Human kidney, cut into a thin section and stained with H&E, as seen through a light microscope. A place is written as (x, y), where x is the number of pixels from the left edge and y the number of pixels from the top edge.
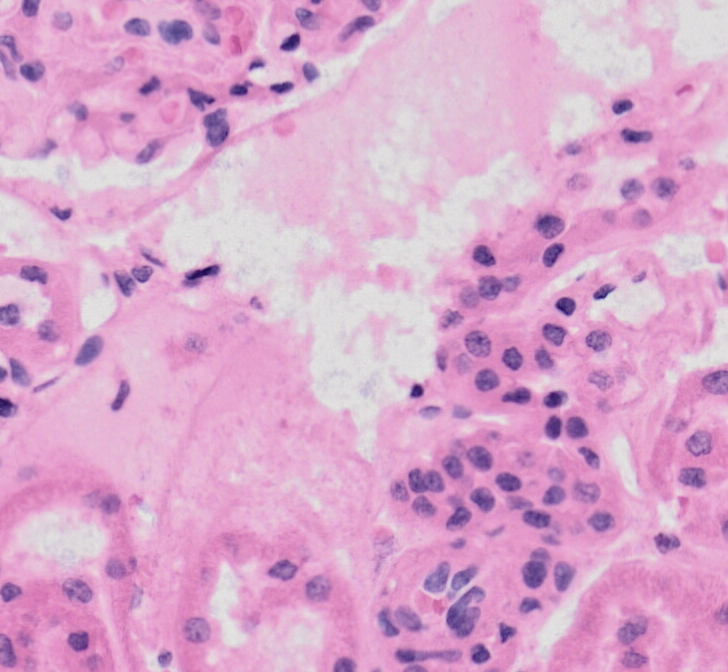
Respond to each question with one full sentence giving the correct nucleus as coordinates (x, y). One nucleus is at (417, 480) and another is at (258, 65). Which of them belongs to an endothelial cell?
Between the pair, the nucleus at (258, 65) belongs to an endothelial cell.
